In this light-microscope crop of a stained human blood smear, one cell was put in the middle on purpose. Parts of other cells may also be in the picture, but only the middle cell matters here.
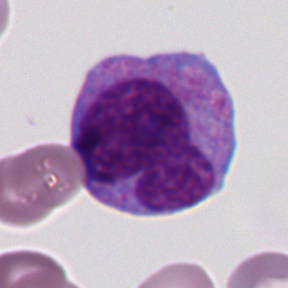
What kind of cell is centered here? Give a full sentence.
The crop shows an atypical promyelocyte in its centre.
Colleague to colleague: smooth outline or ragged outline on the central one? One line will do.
No surface projections are present; the cell outline is smooth.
